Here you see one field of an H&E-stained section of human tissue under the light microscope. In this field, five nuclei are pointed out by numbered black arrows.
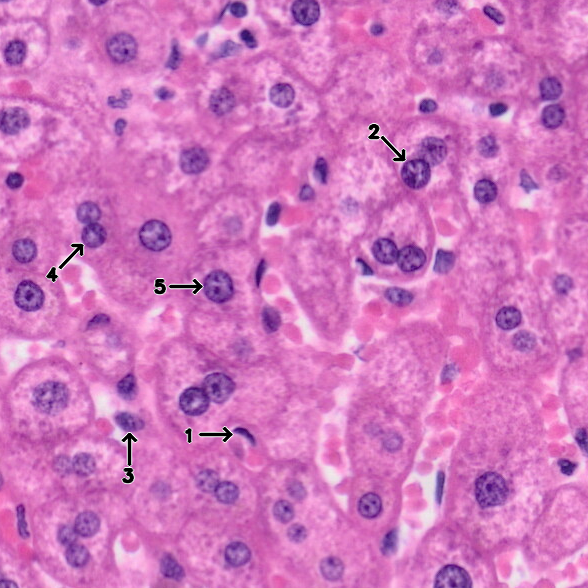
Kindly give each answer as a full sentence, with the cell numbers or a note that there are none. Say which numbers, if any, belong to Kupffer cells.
Only one marked cell, number 3, is a Kupffer cell.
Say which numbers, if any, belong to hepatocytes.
On this slide, the cells numbered 2, 4 and 5 are hepatocytes.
